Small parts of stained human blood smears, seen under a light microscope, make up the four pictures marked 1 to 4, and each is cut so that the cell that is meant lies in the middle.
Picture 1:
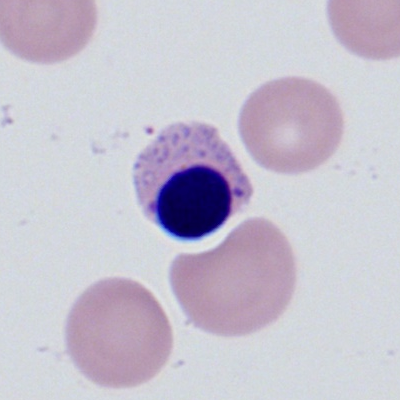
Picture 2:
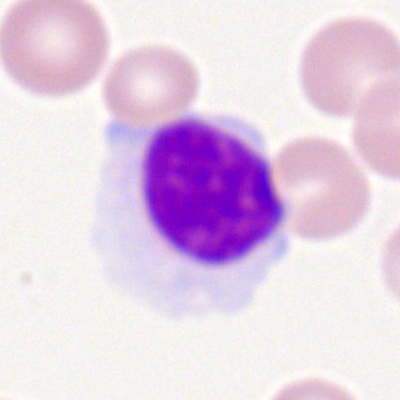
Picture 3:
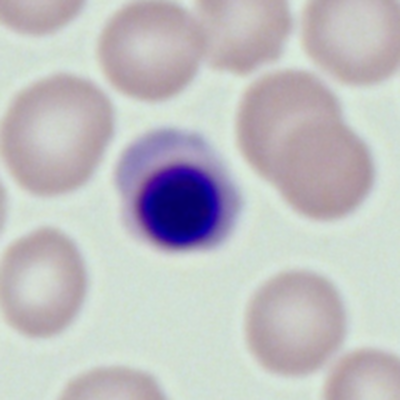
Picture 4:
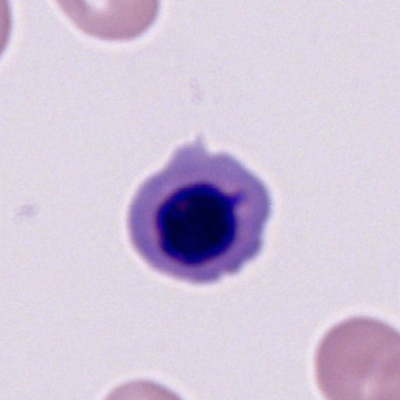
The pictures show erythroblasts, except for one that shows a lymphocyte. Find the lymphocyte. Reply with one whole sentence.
Picture 2 shows the lymphocyte.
